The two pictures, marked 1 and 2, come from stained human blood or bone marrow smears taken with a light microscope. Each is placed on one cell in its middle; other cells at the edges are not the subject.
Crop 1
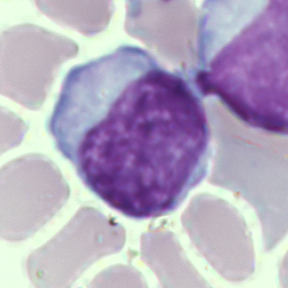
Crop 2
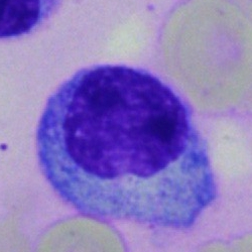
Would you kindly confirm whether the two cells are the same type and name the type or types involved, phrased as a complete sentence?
No, it is in crop 1 that a plasma cell is shown, and in crop 2 that a myelocyte is shown.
